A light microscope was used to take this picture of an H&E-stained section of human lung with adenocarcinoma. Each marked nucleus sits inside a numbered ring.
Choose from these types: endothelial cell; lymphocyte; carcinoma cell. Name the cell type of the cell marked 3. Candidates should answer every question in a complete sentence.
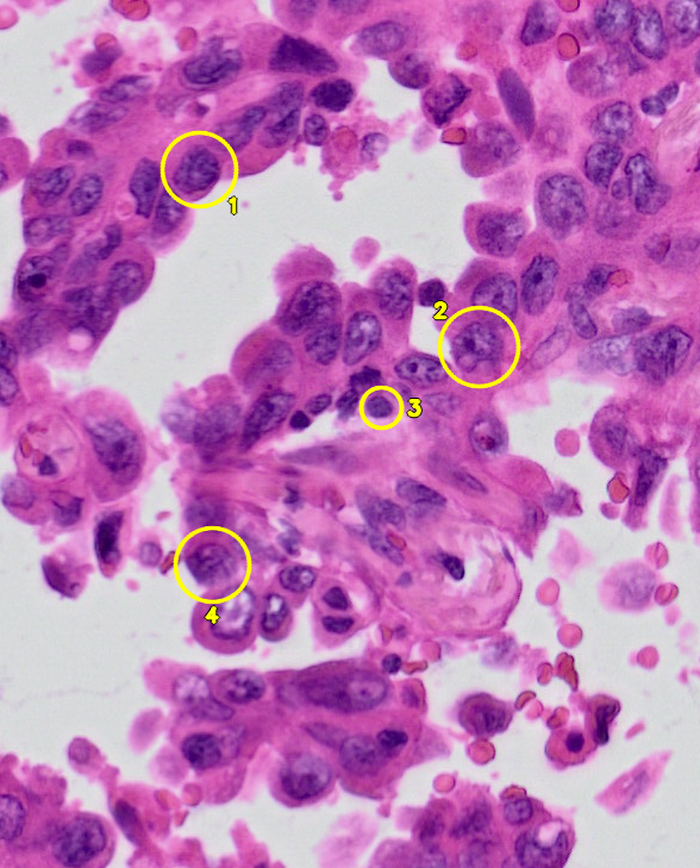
The nucleus marked 3 is the nucleus of a lymphocyte.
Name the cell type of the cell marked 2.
The cell identified by number 2 is a carcinoma cell.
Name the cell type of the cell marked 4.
In this section, the cell tagged 4 is a carcinoma cell.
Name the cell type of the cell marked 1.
In this section, the cell numbered 1 is a carcinoma cell.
